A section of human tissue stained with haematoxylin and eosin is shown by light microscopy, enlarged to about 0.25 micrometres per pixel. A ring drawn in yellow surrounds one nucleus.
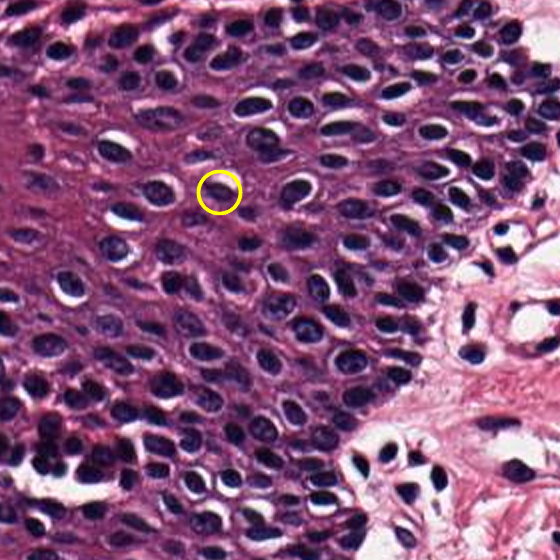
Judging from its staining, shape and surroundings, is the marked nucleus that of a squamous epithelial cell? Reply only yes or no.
yes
